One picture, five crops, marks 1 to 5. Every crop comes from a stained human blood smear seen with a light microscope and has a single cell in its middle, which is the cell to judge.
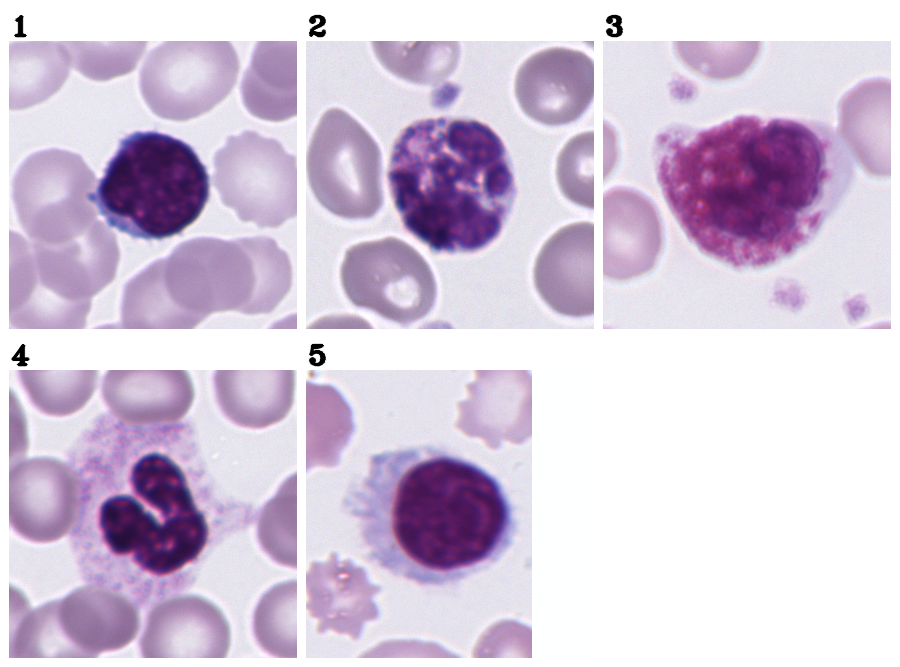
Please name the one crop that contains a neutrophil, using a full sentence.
In this set, crop 4 is the one showing a neutrophil.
